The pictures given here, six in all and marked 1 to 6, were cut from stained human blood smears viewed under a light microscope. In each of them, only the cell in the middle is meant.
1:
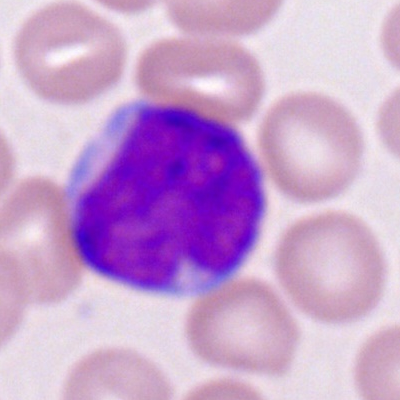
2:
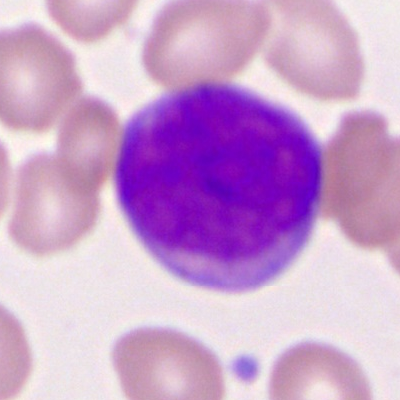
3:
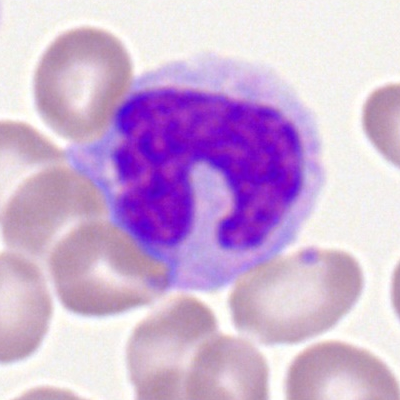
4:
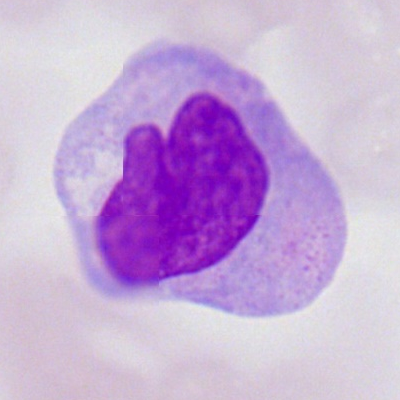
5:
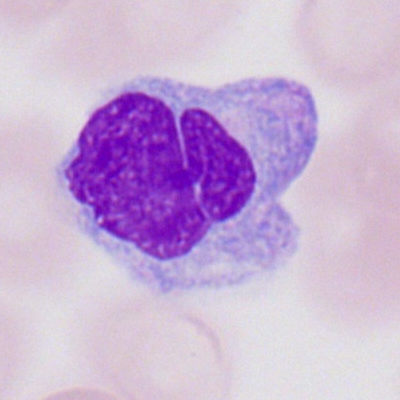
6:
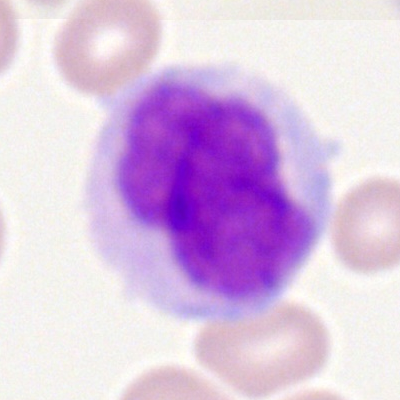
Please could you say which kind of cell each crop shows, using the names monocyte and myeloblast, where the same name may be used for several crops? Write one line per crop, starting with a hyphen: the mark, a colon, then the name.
- 1: myeloblast
- 2: myeloblast
- 3: monocyte
- 4: monocyte
- 5: monocyte
- 6: monocyte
